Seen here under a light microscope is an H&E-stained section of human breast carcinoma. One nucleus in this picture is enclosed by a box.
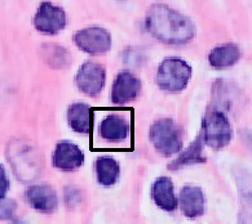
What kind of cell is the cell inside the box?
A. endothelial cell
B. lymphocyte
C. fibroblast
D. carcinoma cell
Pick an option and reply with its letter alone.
B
